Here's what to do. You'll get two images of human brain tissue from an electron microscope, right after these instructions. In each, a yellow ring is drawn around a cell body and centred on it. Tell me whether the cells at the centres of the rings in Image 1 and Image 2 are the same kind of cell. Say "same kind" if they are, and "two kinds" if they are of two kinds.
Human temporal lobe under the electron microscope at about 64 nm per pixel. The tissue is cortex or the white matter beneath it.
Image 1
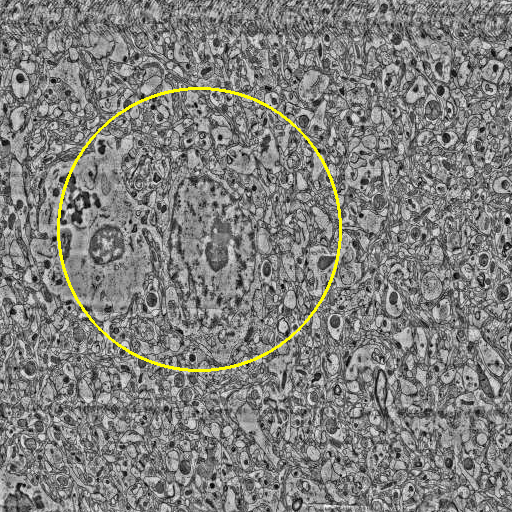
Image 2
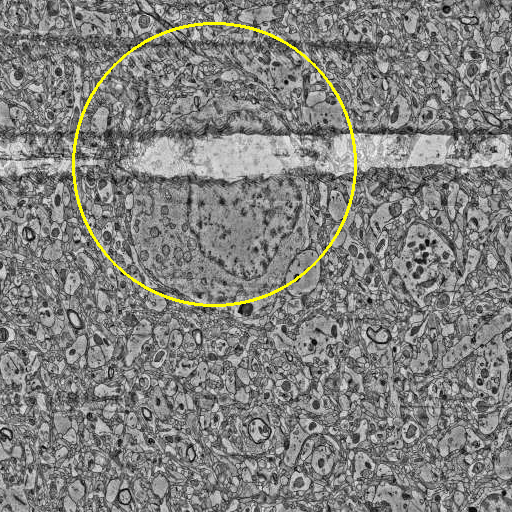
same kind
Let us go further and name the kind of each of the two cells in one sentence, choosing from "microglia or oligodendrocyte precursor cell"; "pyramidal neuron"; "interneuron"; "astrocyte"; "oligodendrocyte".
The first and the second cell are each an interneuron.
